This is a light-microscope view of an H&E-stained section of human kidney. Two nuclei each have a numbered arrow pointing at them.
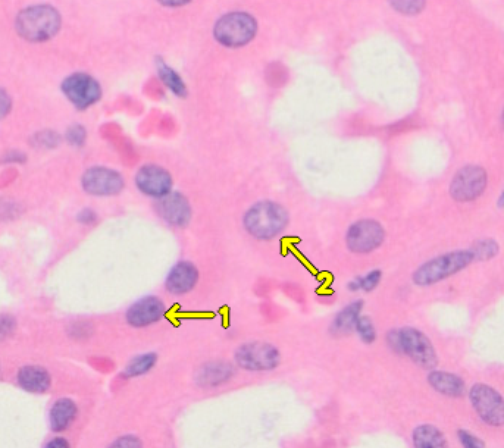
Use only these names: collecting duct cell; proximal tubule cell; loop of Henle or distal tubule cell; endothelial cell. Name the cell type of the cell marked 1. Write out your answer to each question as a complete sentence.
Nucleus 1 in this section belongs to a loop of Henle or distal tubule cell.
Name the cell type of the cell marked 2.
Among the marked nuclei, number 2 belongs to a proximal tubule cell.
